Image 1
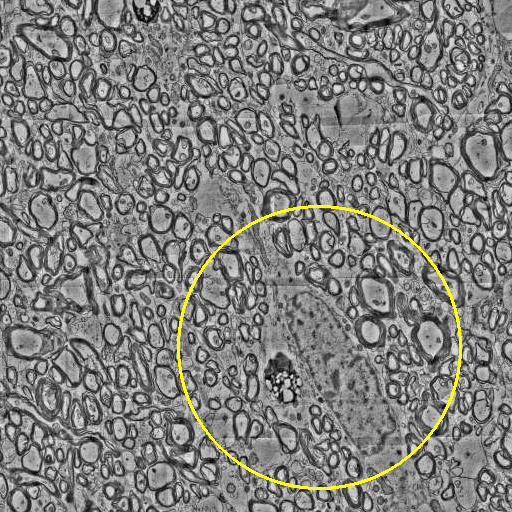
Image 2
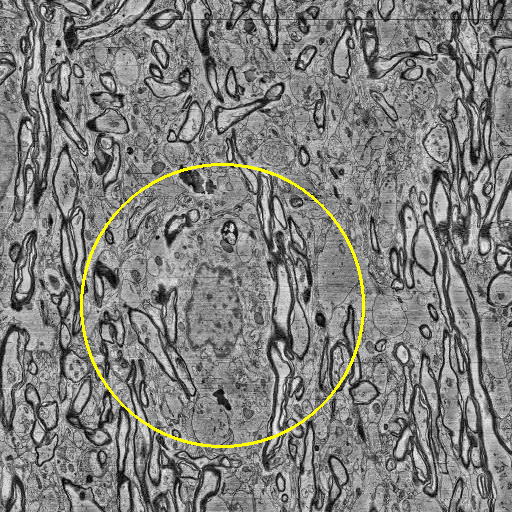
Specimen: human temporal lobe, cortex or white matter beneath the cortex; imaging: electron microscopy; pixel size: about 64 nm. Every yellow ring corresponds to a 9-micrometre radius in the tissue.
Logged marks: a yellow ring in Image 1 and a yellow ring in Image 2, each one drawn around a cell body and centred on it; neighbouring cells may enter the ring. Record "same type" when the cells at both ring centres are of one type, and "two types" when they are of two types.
same type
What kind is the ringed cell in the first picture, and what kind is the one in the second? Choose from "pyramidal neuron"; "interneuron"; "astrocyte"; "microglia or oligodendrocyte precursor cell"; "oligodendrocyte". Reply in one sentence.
Both rings mark an astrocyte, one in each picture.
